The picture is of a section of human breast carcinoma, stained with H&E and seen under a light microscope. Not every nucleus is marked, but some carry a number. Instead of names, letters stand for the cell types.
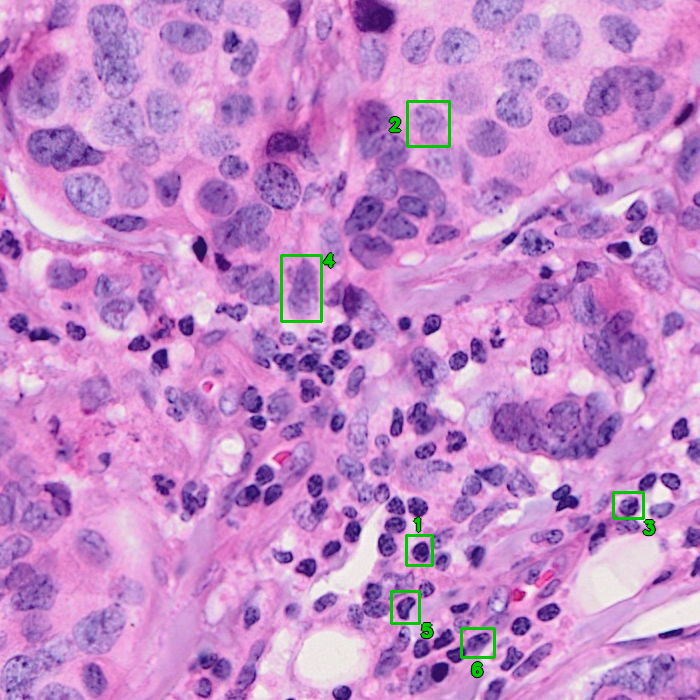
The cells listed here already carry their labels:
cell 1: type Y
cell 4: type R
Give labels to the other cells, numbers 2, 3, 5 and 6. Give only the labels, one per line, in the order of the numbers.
type R
type Y
type Y
type Y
